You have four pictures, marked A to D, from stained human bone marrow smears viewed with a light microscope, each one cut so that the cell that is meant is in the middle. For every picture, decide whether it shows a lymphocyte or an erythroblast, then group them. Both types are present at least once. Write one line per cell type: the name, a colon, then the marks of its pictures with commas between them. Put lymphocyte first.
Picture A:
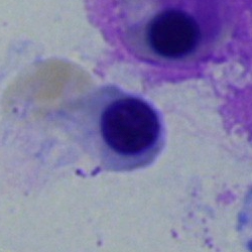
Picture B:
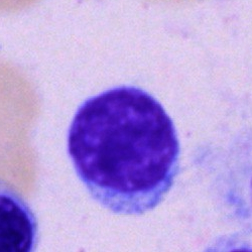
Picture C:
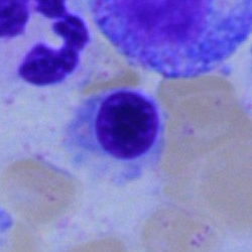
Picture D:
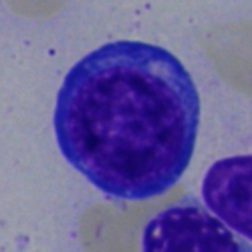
lymphocyte: B
erythroblast: A, C, D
